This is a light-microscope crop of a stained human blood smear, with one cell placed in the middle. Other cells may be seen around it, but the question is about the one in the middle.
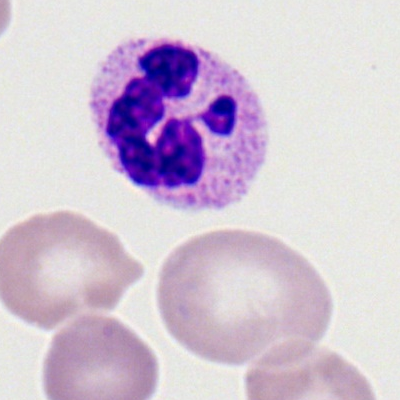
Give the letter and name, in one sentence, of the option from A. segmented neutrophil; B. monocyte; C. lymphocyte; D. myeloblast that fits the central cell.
The cell in the middle is a segmented neutrophil, so option A is correct.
